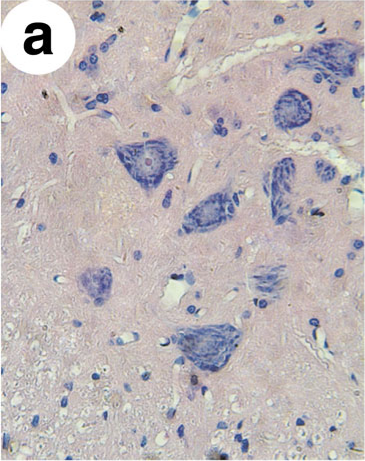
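This is spinal cord gray matter holding a cluster of large motor neurons. Their cell bodies are big and angular, several times the size of anything else in the field, with short tapering extensions at their corners. The cytoplasm is packed with coarse blue-purple granular clumps, and in some cells a round, paler central nucleus can be made out. Around them lies a pale pink, finely textured background scattered with many small, dark, round or oval nuclei of much smaller cells. Thin pale channels run across the upper part, and toward the bottom the background becomes paler and full of small clear spaces.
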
